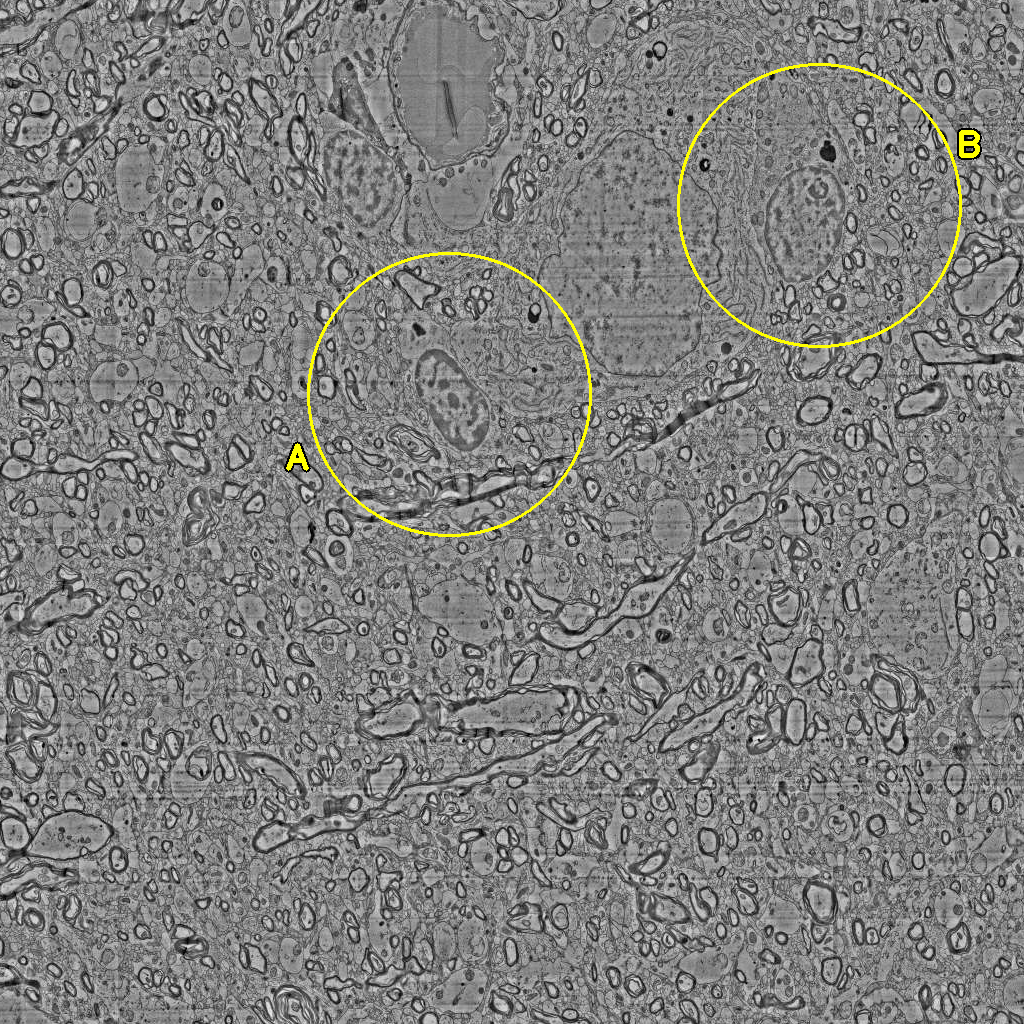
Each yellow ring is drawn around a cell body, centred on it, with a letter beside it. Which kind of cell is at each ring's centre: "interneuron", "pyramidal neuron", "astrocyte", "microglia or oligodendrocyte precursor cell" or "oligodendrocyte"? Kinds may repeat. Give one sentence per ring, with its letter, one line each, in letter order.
Ring A is centred on a microglial cell or oligodendrocyte precursor cell.
Ring B is centred on an oligodendrocyte.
